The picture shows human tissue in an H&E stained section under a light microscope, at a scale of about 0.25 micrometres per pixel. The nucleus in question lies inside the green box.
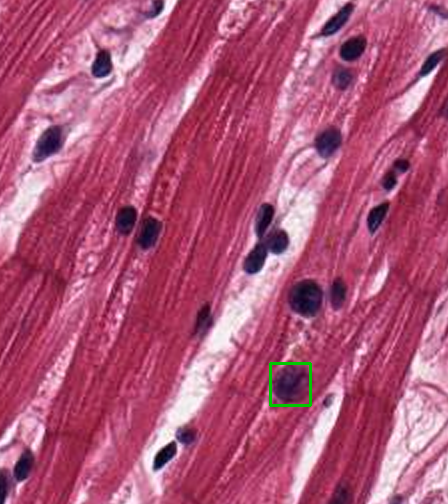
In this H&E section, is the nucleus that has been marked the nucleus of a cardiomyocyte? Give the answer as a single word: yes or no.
yes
